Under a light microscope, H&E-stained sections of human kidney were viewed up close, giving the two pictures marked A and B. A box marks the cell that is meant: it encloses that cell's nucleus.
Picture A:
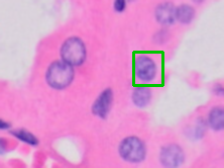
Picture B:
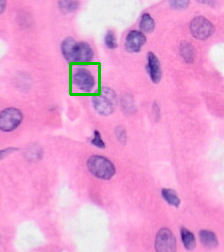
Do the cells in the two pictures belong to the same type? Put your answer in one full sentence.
Yes; the cells in both pictures are collecting duct cells.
